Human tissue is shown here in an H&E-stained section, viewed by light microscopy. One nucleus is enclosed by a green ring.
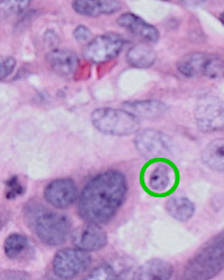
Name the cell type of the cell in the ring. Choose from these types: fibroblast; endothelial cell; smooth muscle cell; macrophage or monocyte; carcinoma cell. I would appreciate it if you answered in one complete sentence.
The cell type of the cell in the ring is that of a macrophage or monocyte.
